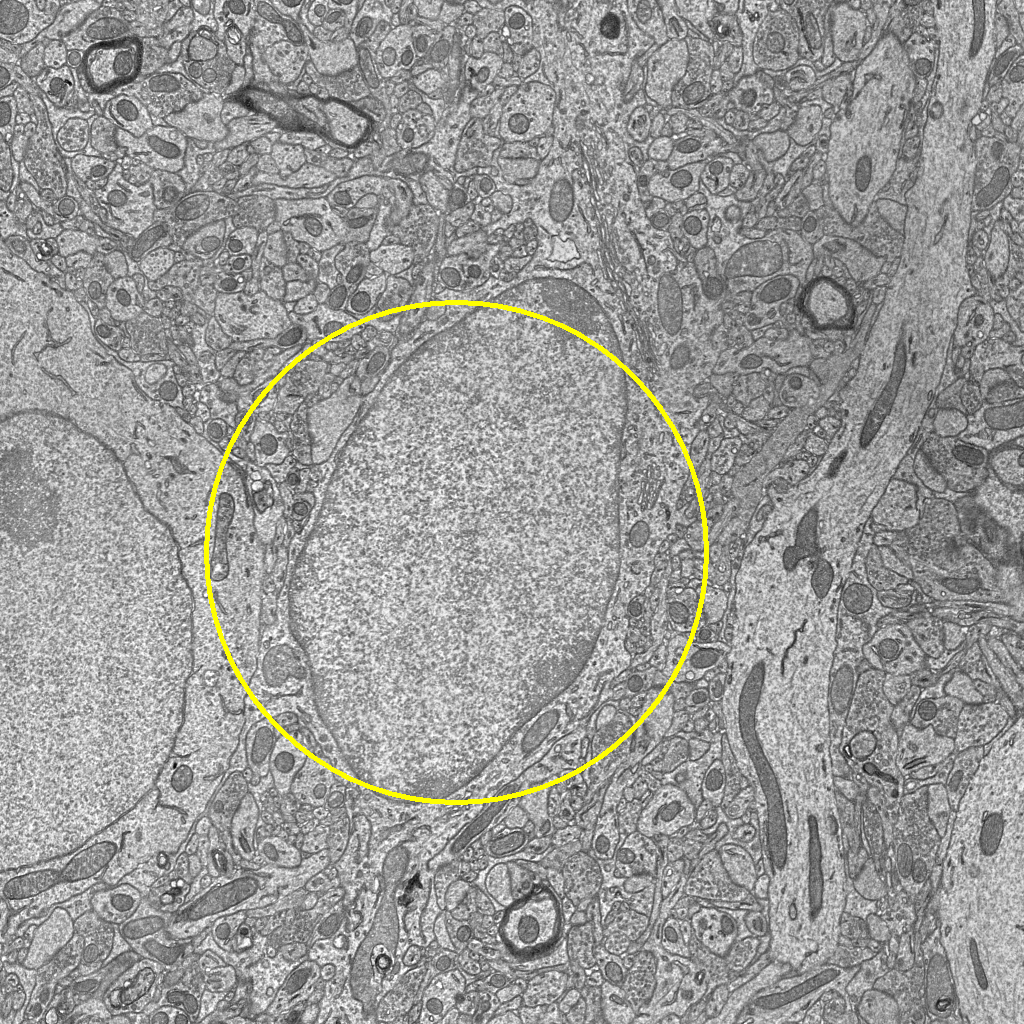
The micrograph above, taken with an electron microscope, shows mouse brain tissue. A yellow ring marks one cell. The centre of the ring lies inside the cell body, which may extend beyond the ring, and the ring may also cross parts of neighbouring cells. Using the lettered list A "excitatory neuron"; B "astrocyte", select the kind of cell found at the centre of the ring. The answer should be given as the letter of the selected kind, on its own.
B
